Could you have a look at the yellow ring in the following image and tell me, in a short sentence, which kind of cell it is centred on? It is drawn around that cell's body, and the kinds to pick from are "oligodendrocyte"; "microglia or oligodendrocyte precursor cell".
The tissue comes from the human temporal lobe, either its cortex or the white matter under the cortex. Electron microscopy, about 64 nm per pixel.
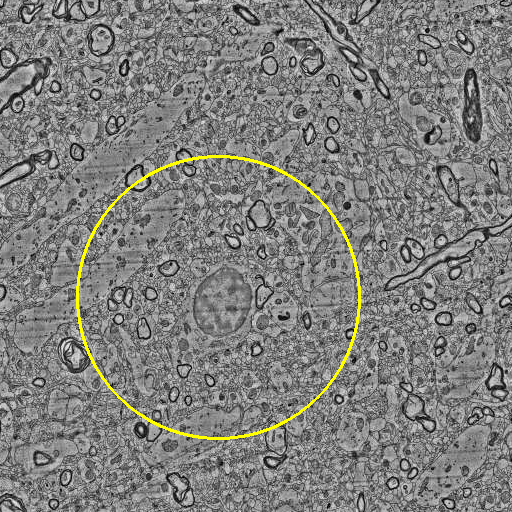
The ring is centred on the body of an oligodendrocyte.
